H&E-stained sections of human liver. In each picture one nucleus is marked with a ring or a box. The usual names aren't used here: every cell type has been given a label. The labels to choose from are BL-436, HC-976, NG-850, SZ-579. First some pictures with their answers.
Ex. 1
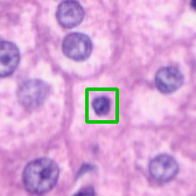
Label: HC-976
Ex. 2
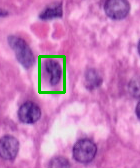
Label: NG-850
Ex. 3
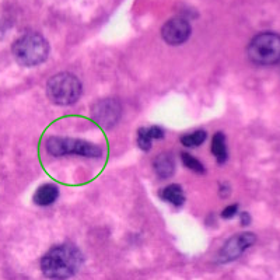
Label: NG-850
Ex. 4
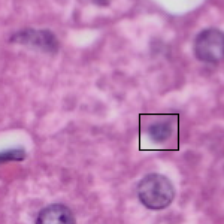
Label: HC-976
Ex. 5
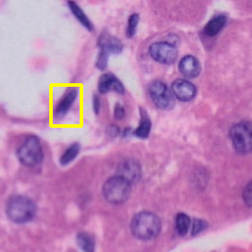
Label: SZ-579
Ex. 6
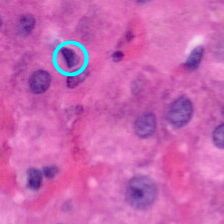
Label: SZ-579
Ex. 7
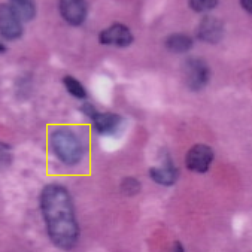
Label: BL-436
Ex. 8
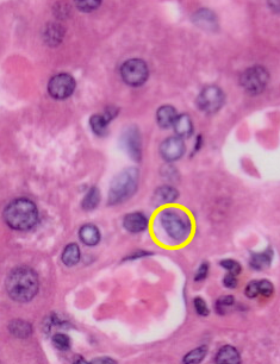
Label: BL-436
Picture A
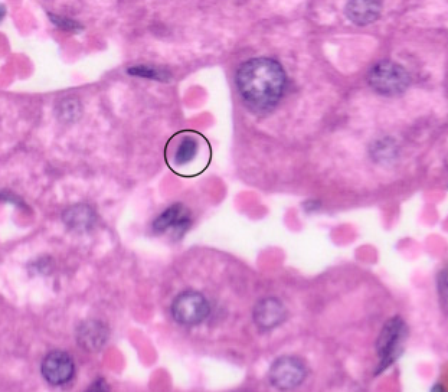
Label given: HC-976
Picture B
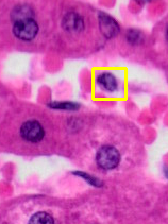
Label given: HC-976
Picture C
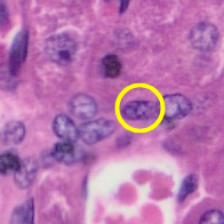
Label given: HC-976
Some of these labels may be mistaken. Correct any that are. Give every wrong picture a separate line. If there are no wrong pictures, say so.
Wrong: C (HC-976); correct: BL-436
